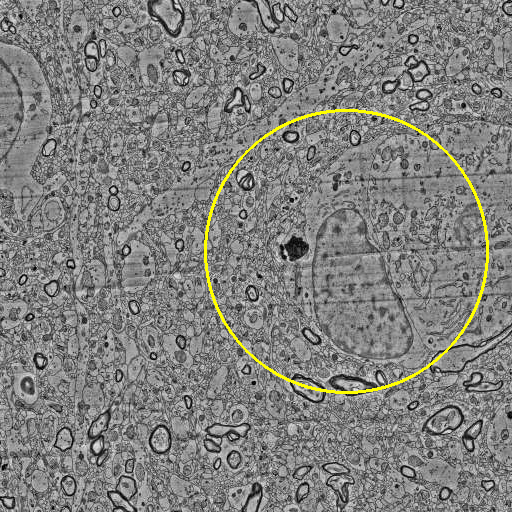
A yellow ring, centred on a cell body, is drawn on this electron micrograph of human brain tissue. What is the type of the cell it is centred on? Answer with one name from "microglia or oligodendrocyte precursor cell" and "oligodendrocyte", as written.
microglia or oligodendrocyte precursor cell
